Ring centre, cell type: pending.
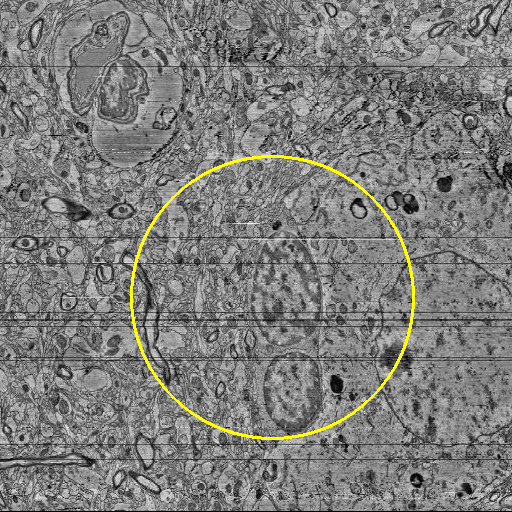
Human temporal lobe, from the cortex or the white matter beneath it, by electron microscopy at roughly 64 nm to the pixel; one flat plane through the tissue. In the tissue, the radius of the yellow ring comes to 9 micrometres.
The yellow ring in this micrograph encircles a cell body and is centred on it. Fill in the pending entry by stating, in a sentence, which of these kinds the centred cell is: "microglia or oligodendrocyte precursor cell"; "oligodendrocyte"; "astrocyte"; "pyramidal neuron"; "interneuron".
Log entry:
The centred cell is recorded as an oligodendrocyte.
